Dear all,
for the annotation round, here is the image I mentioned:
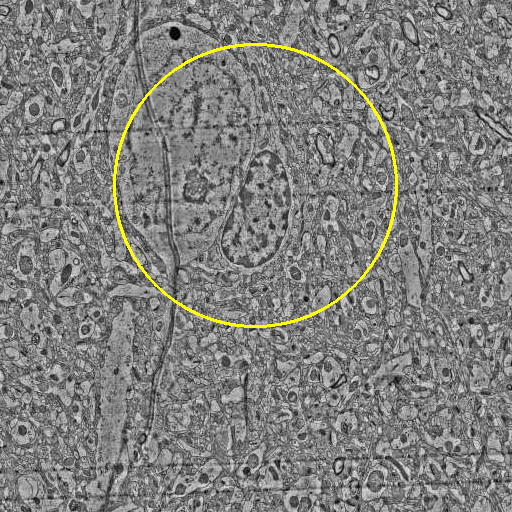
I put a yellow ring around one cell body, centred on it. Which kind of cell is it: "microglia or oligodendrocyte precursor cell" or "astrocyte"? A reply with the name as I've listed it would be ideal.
microglia or oligodendrocyte precursor cell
